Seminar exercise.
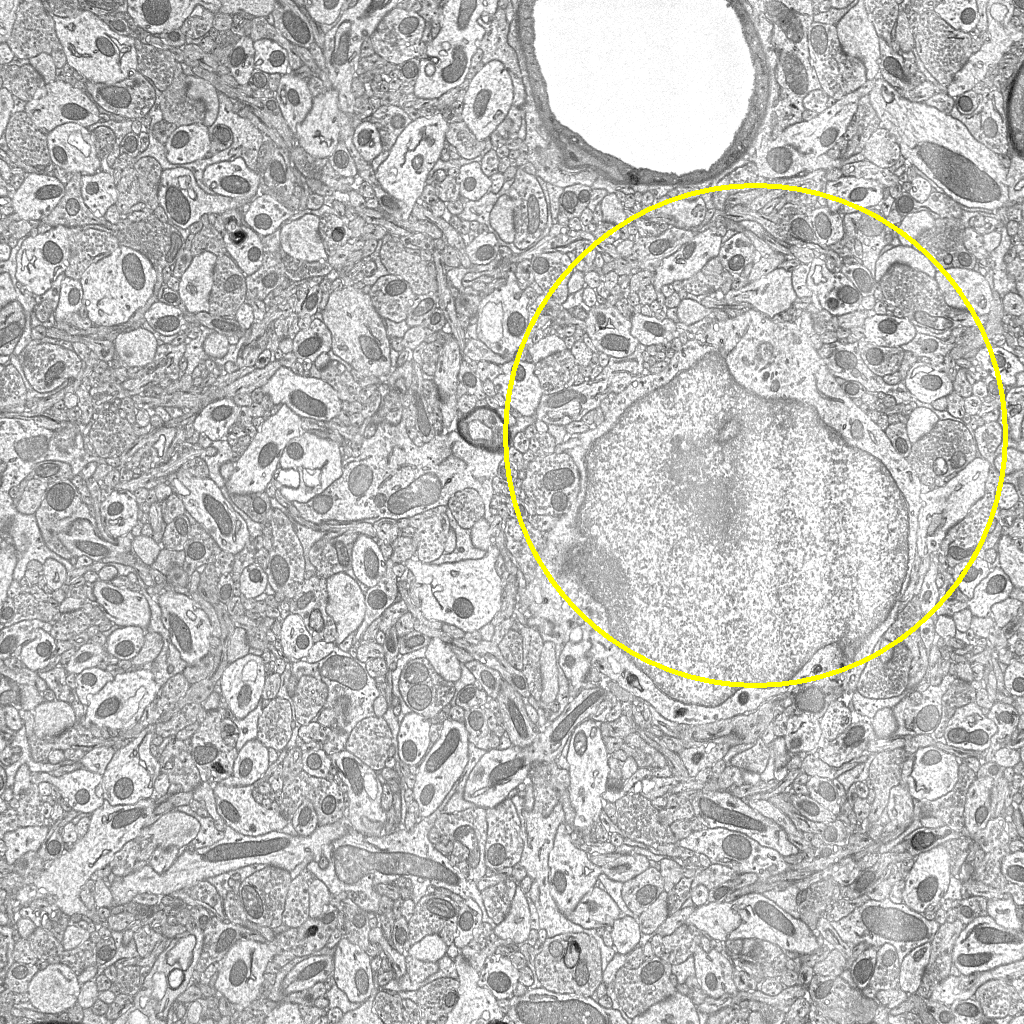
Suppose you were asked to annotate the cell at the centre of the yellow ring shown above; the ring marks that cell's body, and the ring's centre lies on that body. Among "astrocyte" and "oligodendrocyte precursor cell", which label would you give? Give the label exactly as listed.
oligodendrocyte precursor cell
